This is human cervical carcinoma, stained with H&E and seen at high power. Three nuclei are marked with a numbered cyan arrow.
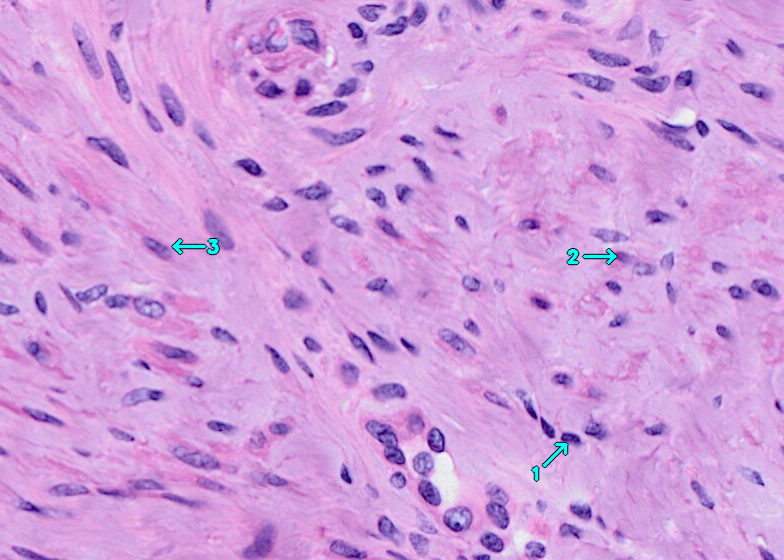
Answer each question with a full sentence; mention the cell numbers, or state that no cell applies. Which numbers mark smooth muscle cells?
Here, the cells that carry numbers 2 and 3 are smooth muscle cells.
